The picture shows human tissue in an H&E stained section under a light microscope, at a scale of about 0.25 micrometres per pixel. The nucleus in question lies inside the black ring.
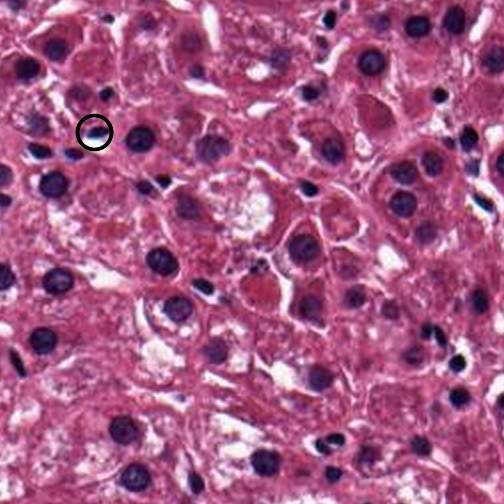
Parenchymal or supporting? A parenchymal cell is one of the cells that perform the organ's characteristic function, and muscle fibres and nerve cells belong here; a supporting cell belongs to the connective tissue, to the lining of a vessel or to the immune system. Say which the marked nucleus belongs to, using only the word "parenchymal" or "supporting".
supporting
